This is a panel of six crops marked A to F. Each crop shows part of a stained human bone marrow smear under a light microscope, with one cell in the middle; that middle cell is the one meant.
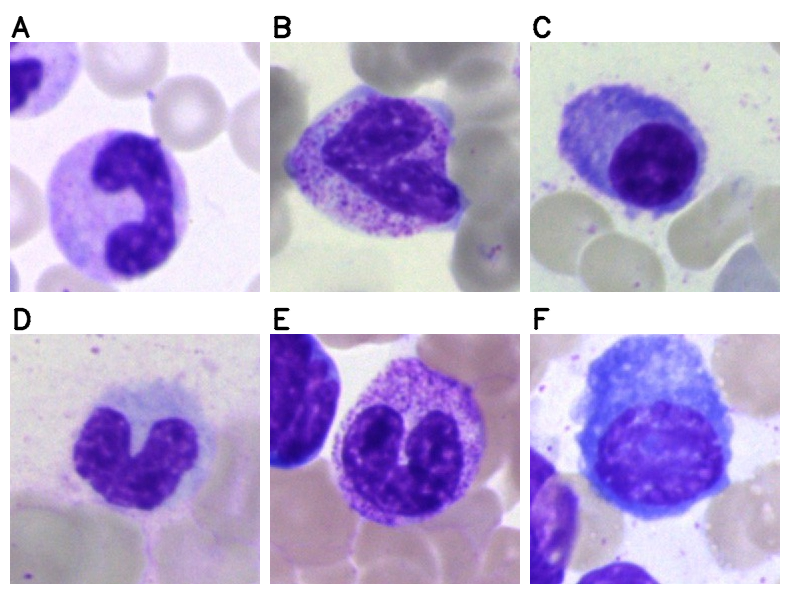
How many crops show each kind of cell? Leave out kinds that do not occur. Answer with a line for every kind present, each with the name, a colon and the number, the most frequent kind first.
band neutrophil: 4
plasma cell: 2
